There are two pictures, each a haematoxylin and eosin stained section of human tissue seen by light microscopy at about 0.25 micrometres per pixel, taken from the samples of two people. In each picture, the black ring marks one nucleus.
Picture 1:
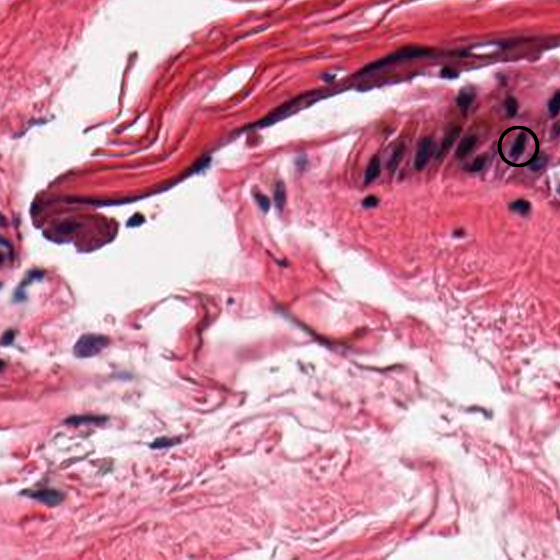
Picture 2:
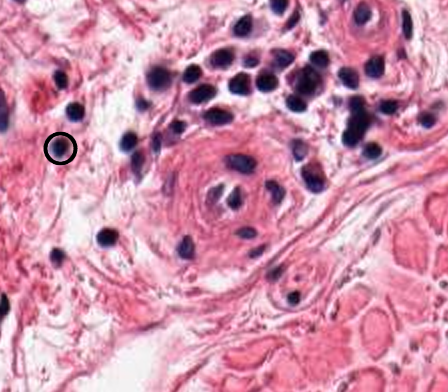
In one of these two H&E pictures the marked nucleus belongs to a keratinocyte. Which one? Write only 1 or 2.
1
